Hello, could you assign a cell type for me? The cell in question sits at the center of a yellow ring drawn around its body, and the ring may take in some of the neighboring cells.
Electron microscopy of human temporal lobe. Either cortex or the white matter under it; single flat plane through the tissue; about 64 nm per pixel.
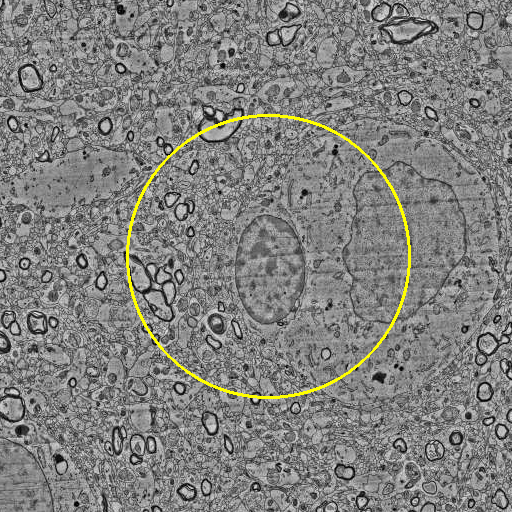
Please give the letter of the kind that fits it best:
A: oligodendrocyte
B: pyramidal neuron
A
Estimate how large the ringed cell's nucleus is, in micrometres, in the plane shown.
Approximately 7 by 4 micrometers, which makes the nucleus clearly longer than it is wide in this plane.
